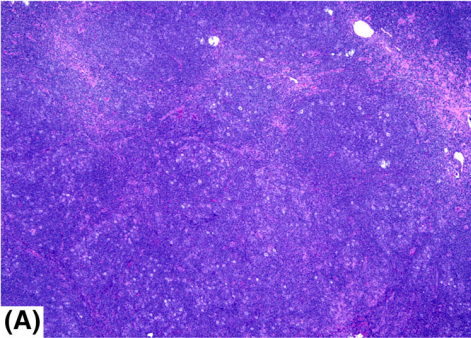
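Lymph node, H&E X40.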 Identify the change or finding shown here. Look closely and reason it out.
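Broad, vaguely rounded dark nodules fill the field. Paler pink bands run between the nodules. That points to this answer: large nodular pattern.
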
